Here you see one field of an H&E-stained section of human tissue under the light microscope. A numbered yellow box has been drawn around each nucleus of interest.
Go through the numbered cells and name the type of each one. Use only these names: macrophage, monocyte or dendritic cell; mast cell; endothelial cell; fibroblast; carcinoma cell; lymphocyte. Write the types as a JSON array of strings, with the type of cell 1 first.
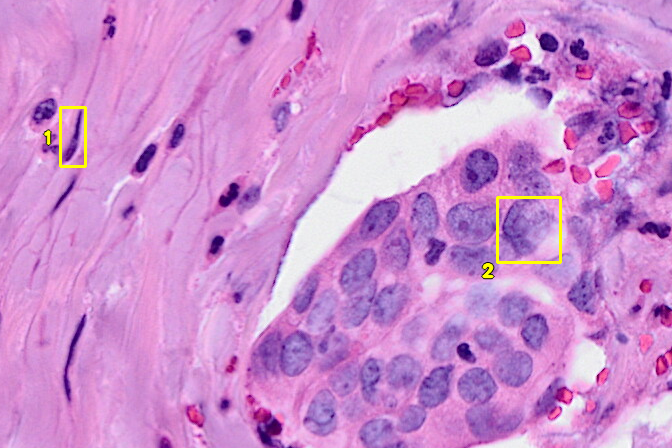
["fibroblast", "carcinoma cell"]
